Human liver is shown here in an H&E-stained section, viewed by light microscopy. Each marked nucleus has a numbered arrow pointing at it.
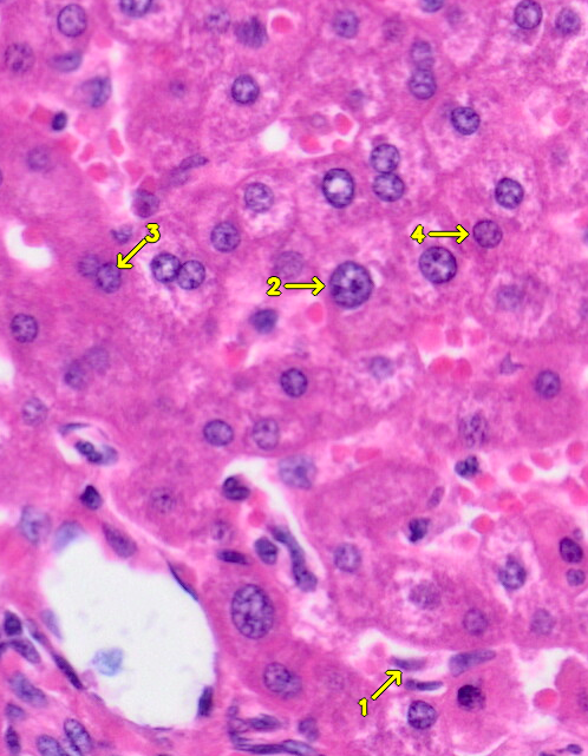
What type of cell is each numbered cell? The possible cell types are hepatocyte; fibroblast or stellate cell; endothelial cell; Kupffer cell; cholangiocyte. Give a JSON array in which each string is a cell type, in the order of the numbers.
["Kupffer cell", "hepatocyte", "hepatocyte", "hepatocyte"]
